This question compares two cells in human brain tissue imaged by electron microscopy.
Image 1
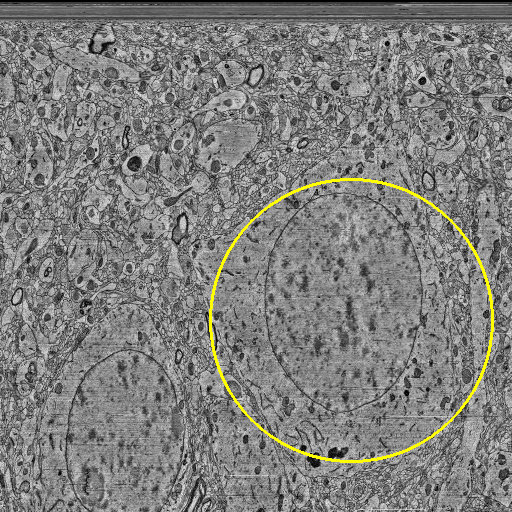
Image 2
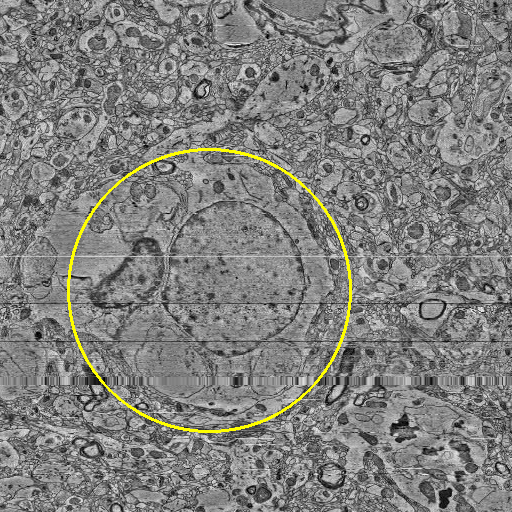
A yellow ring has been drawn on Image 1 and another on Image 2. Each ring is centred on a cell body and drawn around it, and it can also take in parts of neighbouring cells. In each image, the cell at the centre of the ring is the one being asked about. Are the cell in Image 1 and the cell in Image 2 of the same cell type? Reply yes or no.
no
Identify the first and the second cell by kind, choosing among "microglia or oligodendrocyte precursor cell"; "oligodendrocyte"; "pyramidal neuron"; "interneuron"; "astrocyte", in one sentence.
The one in the first picture is a pyramidal neuron, while the one in the second is an astrocyte.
